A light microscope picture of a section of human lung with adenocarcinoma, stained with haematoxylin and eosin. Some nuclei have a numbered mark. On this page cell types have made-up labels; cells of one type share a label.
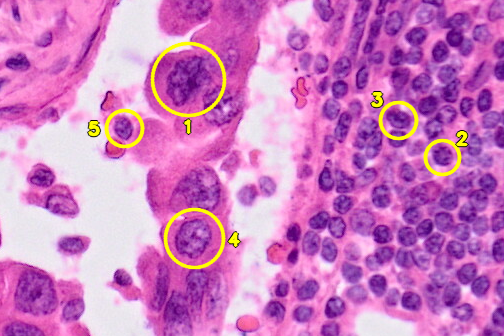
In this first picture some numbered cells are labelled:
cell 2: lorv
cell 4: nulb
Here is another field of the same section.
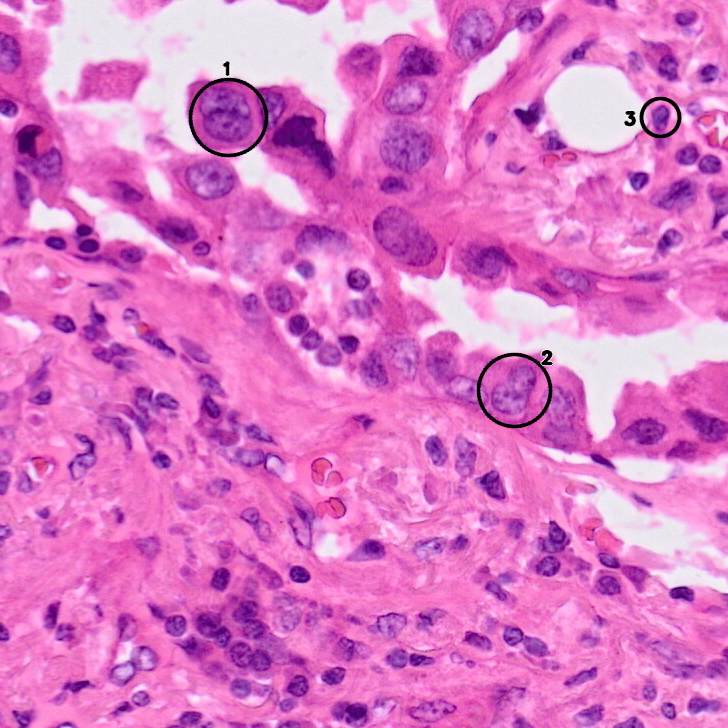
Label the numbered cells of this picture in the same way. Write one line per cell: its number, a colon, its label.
1: nulb
2: nulb
3: lorv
